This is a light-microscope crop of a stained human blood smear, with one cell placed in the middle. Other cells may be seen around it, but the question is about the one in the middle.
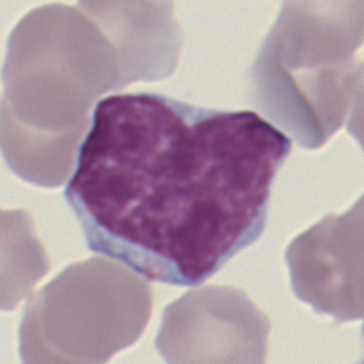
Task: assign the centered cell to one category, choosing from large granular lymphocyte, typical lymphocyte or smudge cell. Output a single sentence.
The cell centred in this crop is categorized as a typical lymphocyte.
